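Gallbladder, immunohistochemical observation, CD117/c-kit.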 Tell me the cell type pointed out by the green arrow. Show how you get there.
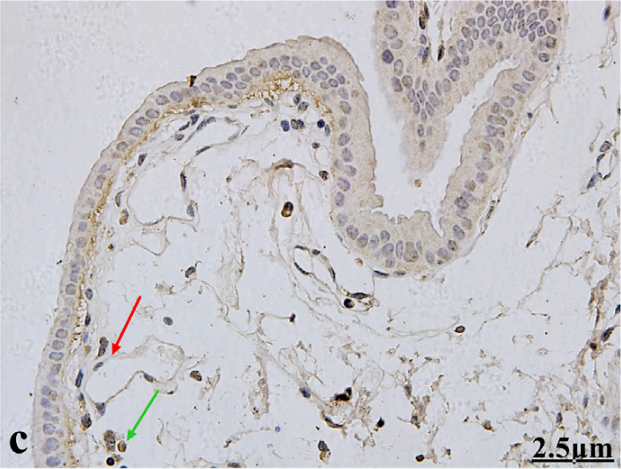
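The cell at the green arrow is small, round and dark brown. It lies in the loose connective tissue below the epithelium. That points to this answer: Mast cells.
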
